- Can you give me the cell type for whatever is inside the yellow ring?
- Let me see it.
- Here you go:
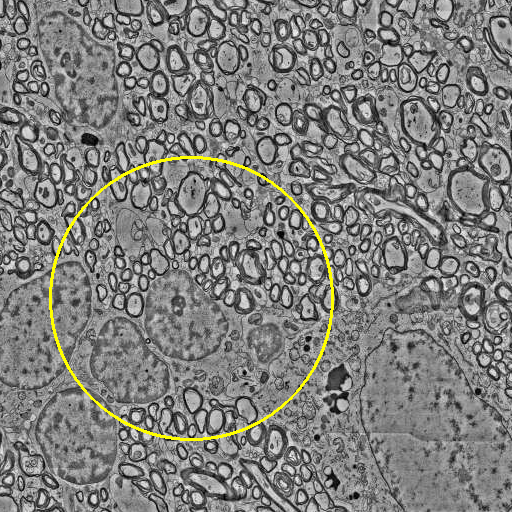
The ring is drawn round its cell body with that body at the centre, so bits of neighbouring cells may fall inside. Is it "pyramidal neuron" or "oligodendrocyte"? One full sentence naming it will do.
The cell body in the middle of the ring in this picture belongs to an oligodendrocyte.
